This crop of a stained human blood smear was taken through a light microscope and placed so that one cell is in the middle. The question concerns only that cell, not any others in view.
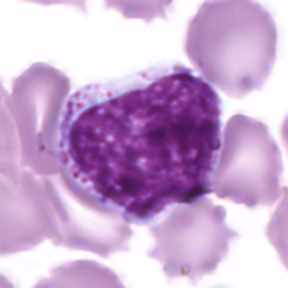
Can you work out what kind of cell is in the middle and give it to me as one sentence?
The cell found in the middle of this crop is a myelocyte.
